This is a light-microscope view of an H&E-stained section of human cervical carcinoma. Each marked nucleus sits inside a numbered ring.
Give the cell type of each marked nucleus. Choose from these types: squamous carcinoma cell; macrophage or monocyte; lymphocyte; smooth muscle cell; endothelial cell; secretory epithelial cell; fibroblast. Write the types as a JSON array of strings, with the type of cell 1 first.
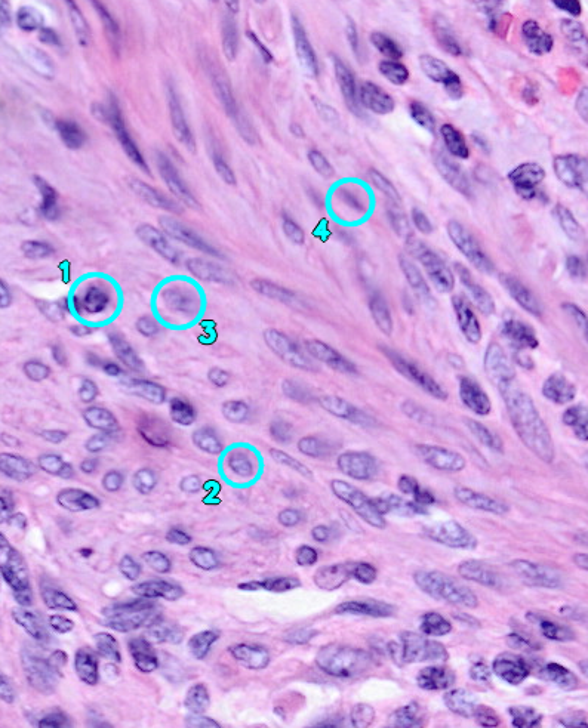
["lymphocyte", "smooth muscle cell", "smooth muscle cell", "smooth muscle cell"]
